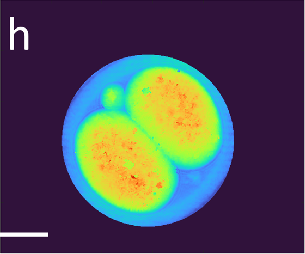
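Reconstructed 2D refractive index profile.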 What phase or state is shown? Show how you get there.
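Two large oval cells lie side by side. Both sit inside a round disc-shaped outline. The answer: 2-cell stage.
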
